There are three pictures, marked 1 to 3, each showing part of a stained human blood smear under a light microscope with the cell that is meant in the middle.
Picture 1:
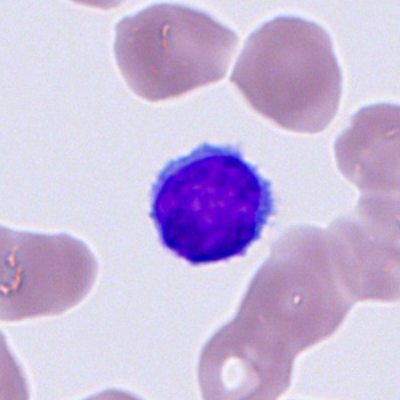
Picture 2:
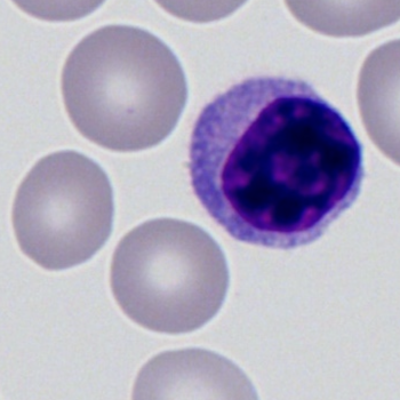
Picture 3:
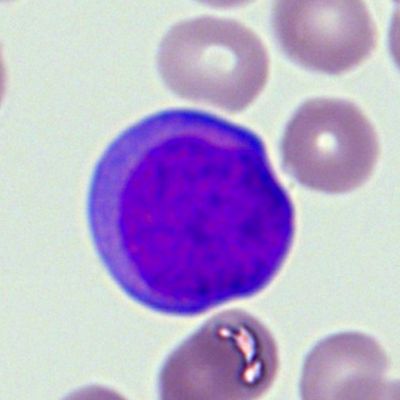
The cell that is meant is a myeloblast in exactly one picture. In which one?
3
